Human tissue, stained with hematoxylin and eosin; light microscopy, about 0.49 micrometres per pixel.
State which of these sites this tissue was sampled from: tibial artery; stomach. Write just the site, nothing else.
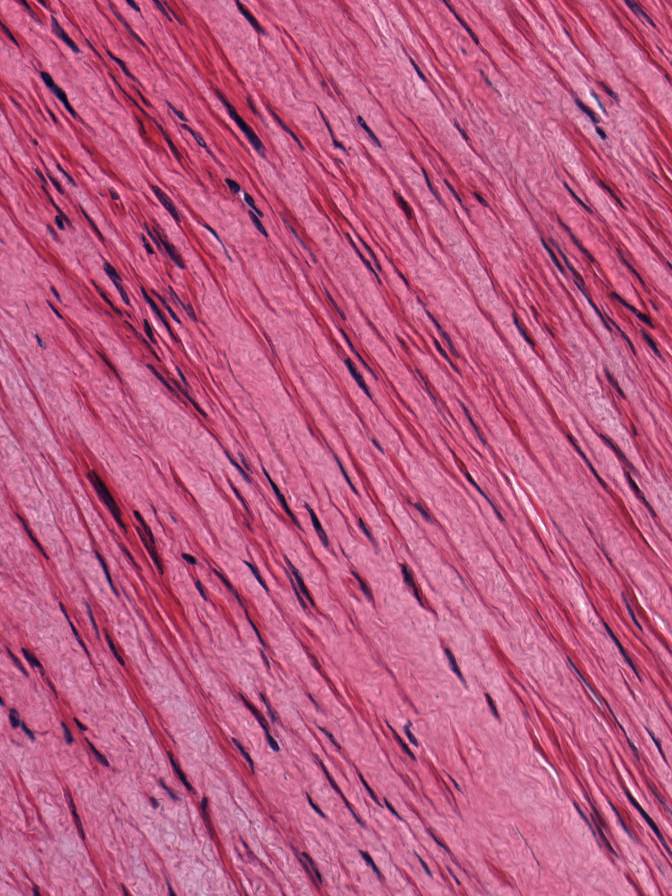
tibial artery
